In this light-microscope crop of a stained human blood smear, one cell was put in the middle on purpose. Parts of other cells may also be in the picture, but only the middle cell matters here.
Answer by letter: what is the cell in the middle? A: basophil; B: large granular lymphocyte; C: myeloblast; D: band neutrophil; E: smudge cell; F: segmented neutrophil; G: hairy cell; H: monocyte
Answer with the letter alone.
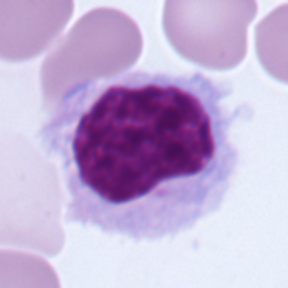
G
